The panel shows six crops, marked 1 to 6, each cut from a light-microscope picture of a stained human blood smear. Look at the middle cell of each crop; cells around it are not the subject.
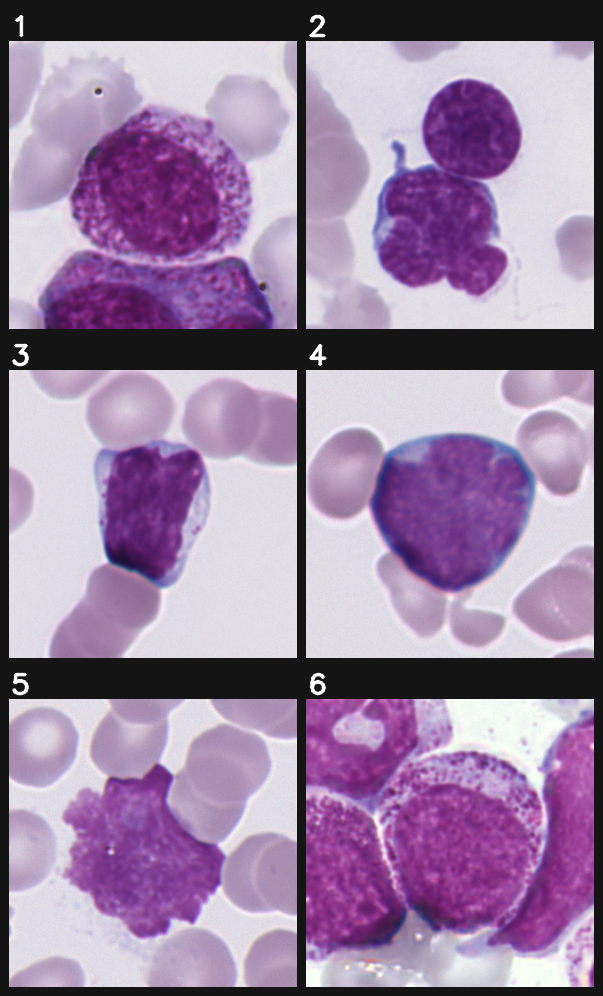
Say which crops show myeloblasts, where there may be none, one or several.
2, 4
